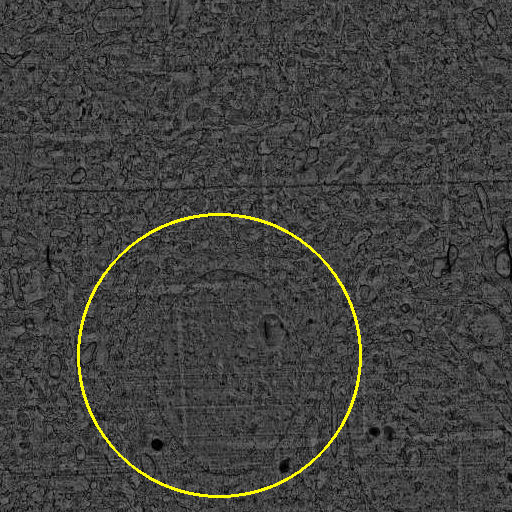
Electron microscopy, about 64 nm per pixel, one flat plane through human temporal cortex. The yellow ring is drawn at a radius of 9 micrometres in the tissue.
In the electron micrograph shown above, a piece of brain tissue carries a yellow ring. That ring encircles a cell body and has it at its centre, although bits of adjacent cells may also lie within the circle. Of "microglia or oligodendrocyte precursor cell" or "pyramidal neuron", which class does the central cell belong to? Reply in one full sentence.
The cell body at the centre of the yellow ring belongs to a pyramidal neuron.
